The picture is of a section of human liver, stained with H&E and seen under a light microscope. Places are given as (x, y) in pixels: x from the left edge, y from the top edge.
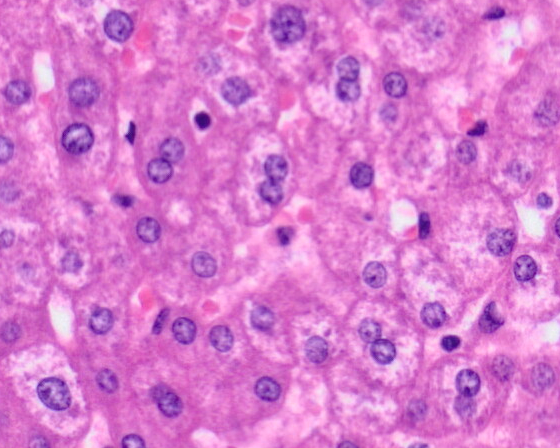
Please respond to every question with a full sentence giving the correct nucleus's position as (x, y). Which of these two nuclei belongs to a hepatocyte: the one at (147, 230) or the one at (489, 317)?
Between the two nuclei, the one sitting at (147, 230) belongs to a hepatocyte.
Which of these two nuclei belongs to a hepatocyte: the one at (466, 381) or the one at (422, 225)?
The nucleus at (466, 381) is housed in a hepatocyte.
